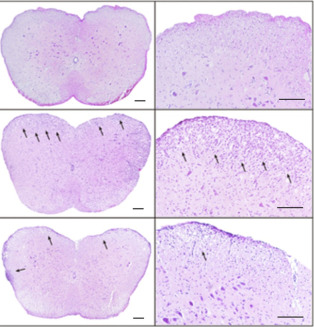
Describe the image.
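These are cross-sections of spinal cord stained pink-purple, each shown whole at low power beside a closer view of its outer rim. The butterfly-shaped grey matter sits in the middle, surrounded by paler white matter. In the lower sections arrows point to dense clusters of dark purple nuclei gathered along the edge of the white matter, packed more thickly in the middle row. Such crowded nuclei in the white matter are collections of infiltrating inflammatory cells.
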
